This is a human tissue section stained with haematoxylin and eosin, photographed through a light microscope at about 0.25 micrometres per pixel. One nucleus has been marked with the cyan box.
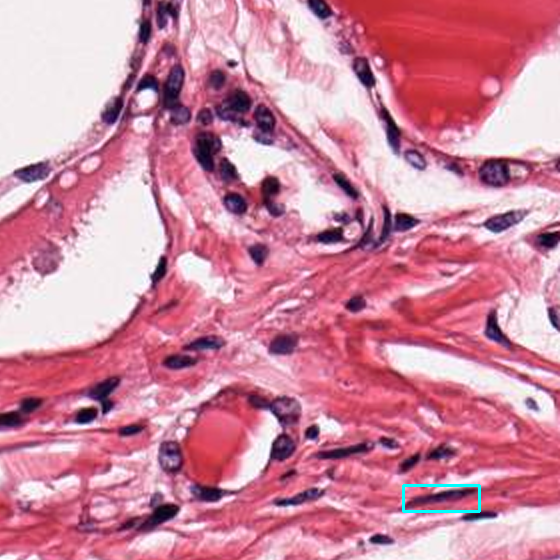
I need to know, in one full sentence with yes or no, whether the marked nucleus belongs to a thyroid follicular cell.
No, the marked nucleus belongs to a supporting cell, not to a thyroid follicular cell.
